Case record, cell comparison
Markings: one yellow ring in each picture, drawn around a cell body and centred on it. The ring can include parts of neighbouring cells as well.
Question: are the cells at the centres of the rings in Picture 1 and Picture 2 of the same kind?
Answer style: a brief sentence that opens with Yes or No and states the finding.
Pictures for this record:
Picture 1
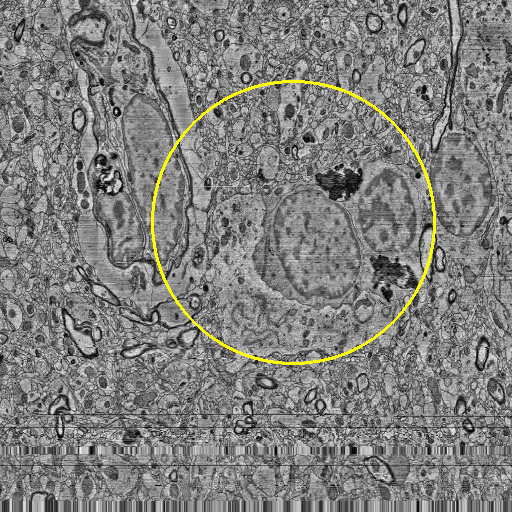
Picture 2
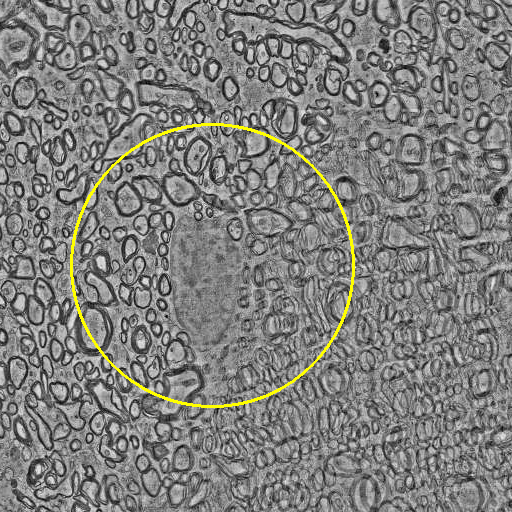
Yes, the cells in Picture 1 and Picture 2 are of the same kind.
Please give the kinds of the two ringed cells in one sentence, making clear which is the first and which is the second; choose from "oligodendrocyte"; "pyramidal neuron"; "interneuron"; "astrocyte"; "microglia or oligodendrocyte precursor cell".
In each picture the ringed cell is an oligodendrocyte.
